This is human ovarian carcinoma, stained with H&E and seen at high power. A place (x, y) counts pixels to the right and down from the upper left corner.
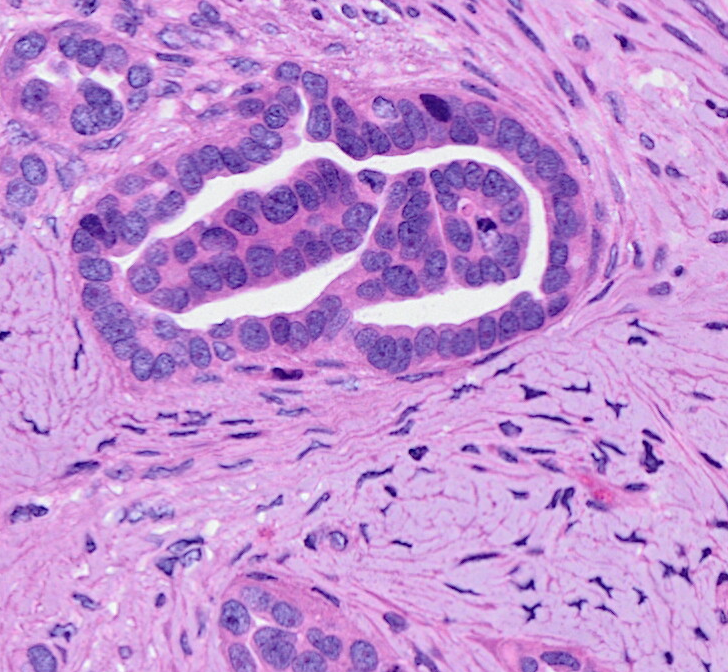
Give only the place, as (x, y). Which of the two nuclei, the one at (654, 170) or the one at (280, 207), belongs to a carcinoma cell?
(280, 207)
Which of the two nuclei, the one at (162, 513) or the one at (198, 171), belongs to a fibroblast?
(162, 513)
